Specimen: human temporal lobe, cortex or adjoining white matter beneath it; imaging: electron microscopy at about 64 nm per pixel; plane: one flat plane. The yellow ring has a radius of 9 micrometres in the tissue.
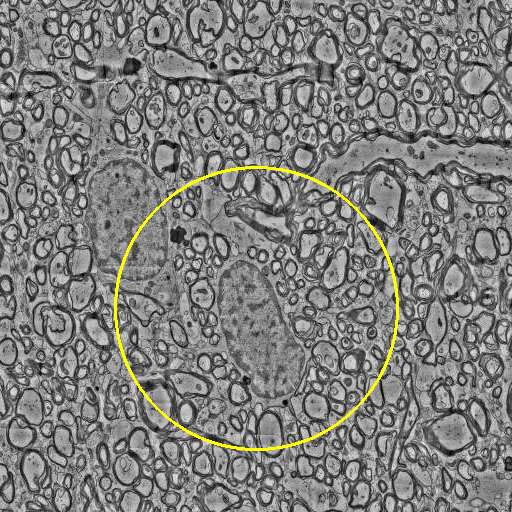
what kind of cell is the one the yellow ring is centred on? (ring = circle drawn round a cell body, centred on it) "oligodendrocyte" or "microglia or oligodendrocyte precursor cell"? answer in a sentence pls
The ring is drawn around an oligodendrocyte.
